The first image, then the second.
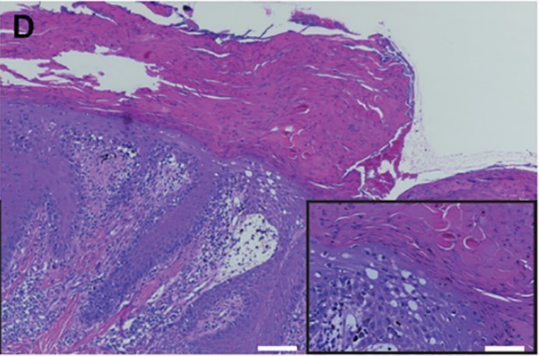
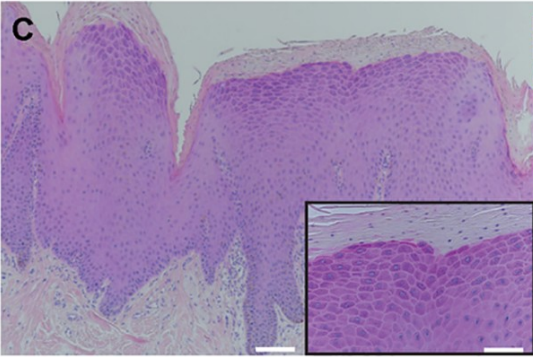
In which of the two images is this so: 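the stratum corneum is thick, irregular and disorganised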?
the first image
